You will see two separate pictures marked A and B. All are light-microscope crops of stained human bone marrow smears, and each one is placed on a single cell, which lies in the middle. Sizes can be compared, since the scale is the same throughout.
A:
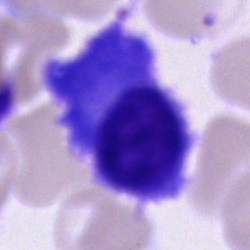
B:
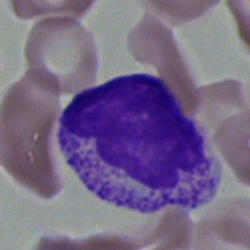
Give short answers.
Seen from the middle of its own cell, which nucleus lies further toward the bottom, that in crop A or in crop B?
A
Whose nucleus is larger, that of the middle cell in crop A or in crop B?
B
